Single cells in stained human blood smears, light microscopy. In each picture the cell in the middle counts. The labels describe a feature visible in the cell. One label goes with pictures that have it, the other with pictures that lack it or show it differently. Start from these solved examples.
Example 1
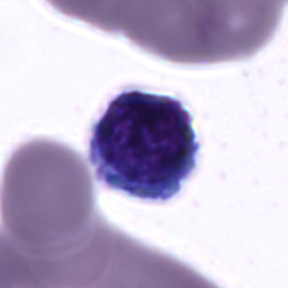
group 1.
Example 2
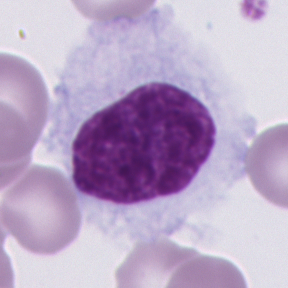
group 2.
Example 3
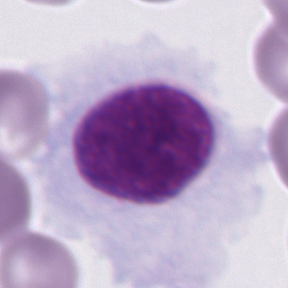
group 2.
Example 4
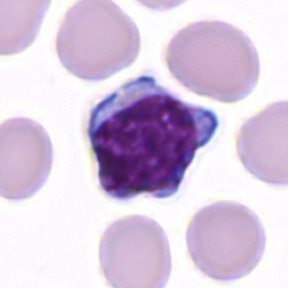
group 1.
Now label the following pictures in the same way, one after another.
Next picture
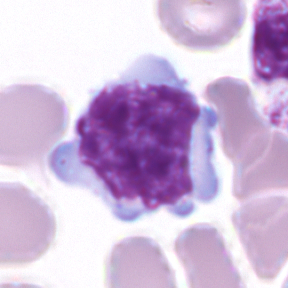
group 1.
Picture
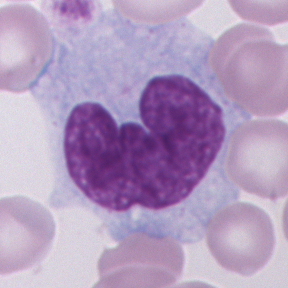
group 2.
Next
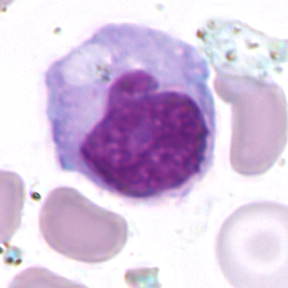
group 2.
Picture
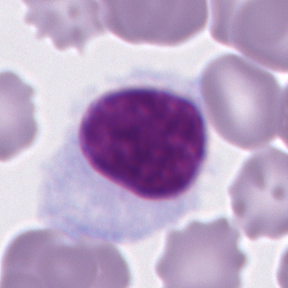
group 2.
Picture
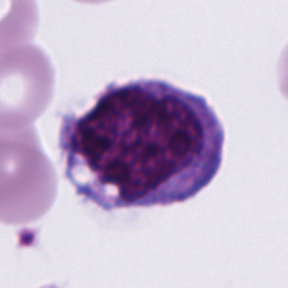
group 1.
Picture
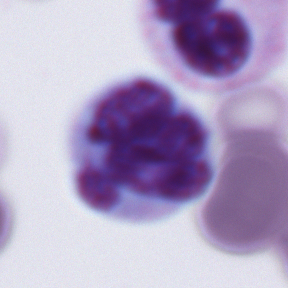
group 1.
